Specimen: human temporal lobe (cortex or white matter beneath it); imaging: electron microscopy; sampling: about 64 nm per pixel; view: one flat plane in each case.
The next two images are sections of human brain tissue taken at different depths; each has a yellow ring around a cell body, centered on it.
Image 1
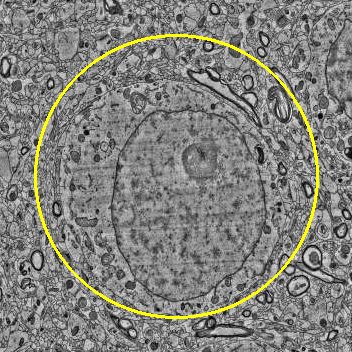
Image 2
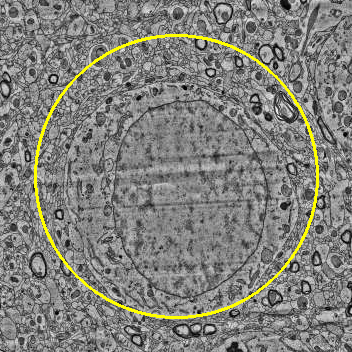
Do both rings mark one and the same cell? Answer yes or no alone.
yes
